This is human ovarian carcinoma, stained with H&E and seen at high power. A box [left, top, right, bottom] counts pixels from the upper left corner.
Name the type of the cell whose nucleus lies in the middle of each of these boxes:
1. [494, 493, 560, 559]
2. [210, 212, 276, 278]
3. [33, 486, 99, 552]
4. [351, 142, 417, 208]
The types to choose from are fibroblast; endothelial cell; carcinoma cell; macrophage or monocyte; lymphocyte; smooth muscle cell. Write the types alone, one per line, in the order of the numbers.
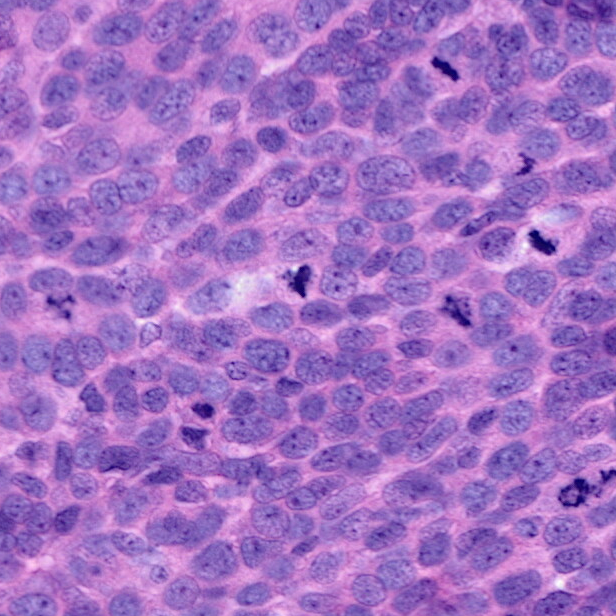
macrophage or monocyte
carcinoma cell
carcinoma cell
carcinoma cell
